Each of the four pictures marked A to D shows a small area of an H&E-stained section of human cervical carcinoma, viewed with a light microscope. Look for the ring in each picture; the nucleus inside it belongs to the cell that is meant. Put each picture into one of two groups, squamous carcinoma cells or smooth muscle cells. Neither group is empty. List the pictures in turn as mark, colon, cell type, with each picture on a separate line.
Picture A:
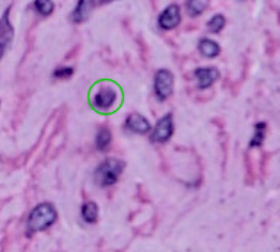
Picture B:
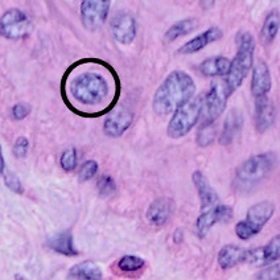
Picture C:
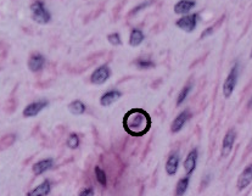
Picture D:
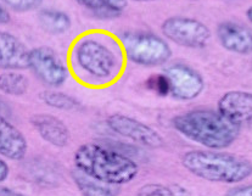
A: smooth muscle cell
B: smooth muscle cell
C: smooth muscle cell
D: squamous carcinoma cell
